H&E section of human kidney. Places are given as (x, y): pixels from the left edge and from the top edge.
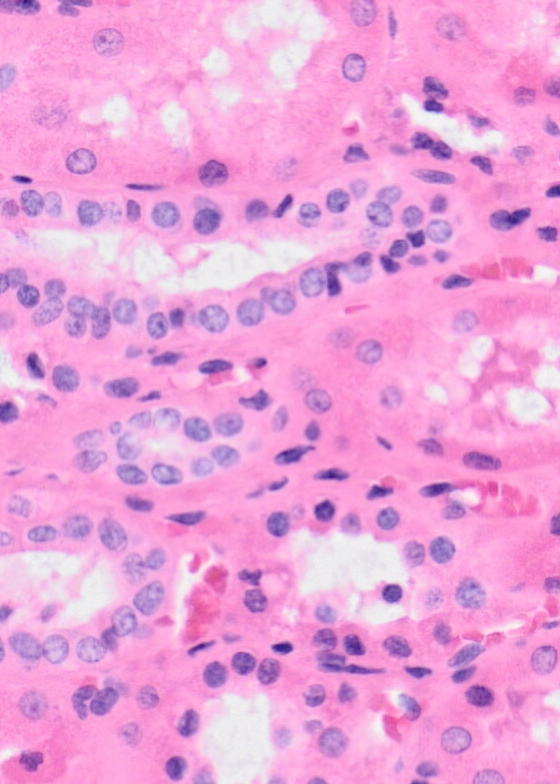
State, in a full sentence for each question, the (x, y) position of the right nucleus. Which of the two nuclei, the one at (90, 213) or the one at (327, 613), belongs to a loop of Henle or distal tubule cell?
Of the two nuclei, the nucleus of a loop of Henle or distal tubule cell is at (327, 613).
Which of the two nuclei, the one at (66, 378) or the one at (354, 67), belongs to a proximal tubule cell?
Belonging to a proximal tubule cell is the nucleus at (354, 67).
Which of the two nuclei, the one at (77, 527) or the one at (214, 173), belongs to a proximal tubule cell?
In this pair, the nucleus at (214, 173) belongs to a proximal tubule cell.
